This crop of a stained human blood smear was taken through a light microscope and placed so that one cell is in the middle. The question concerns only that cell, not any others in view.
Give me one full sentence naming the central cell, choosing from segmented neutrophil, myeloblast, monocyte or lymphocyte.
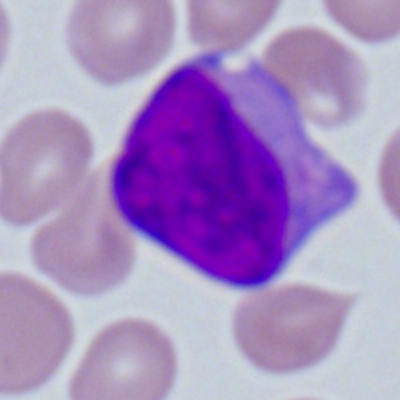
At the middle of the frame sits a myeloblast.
